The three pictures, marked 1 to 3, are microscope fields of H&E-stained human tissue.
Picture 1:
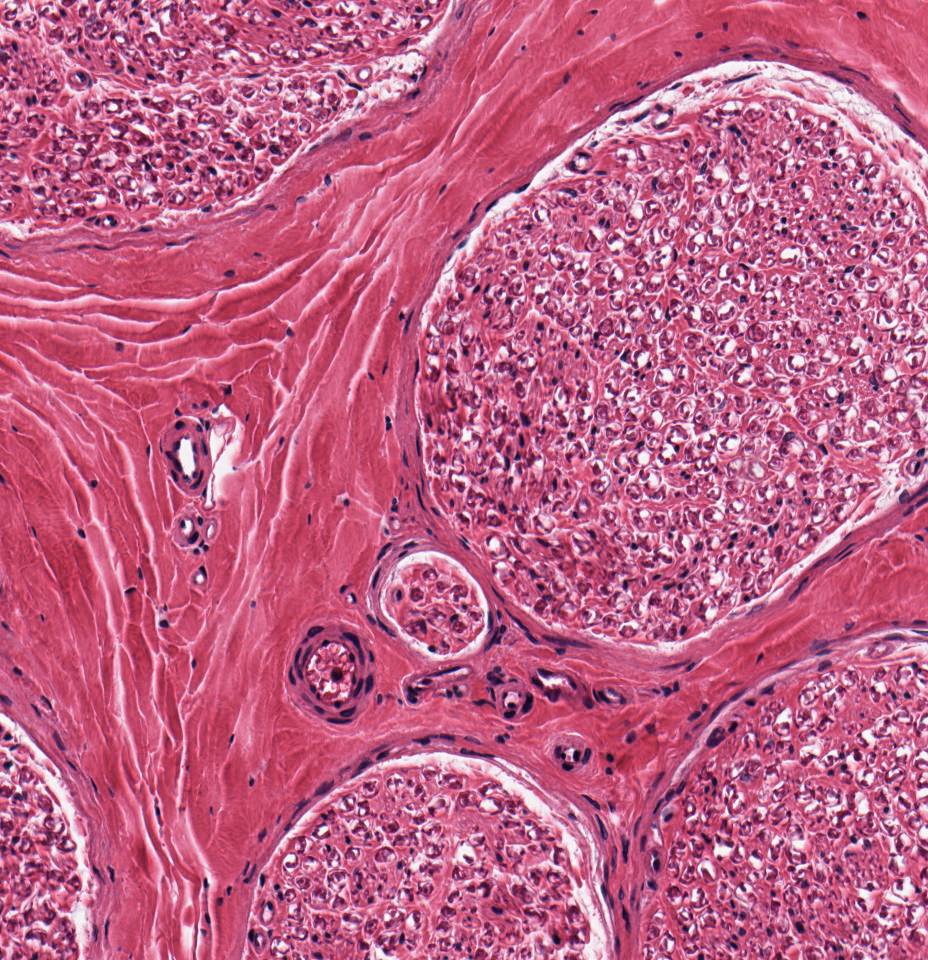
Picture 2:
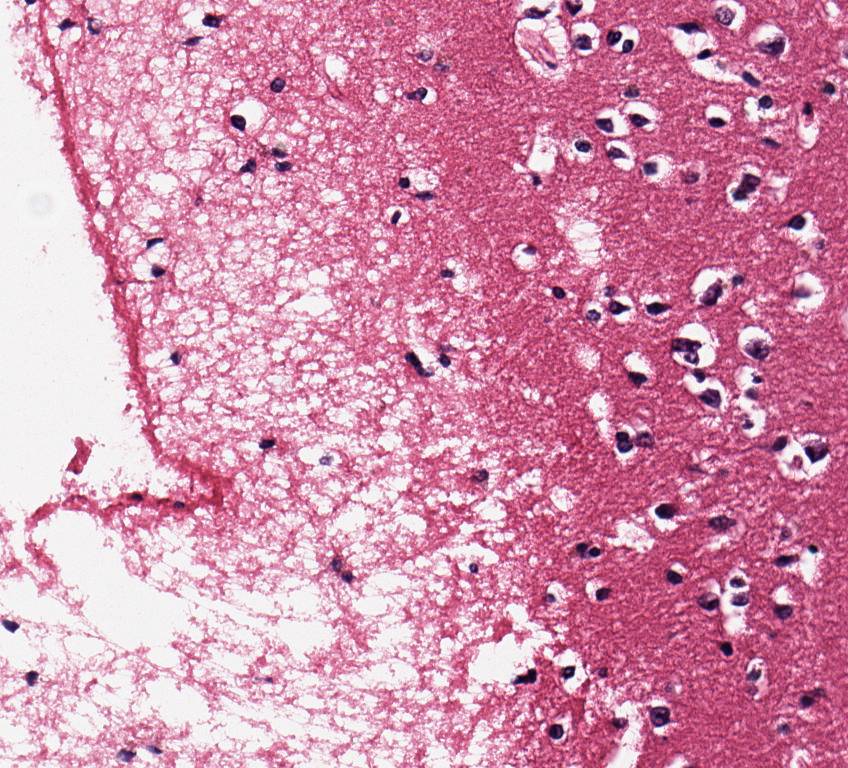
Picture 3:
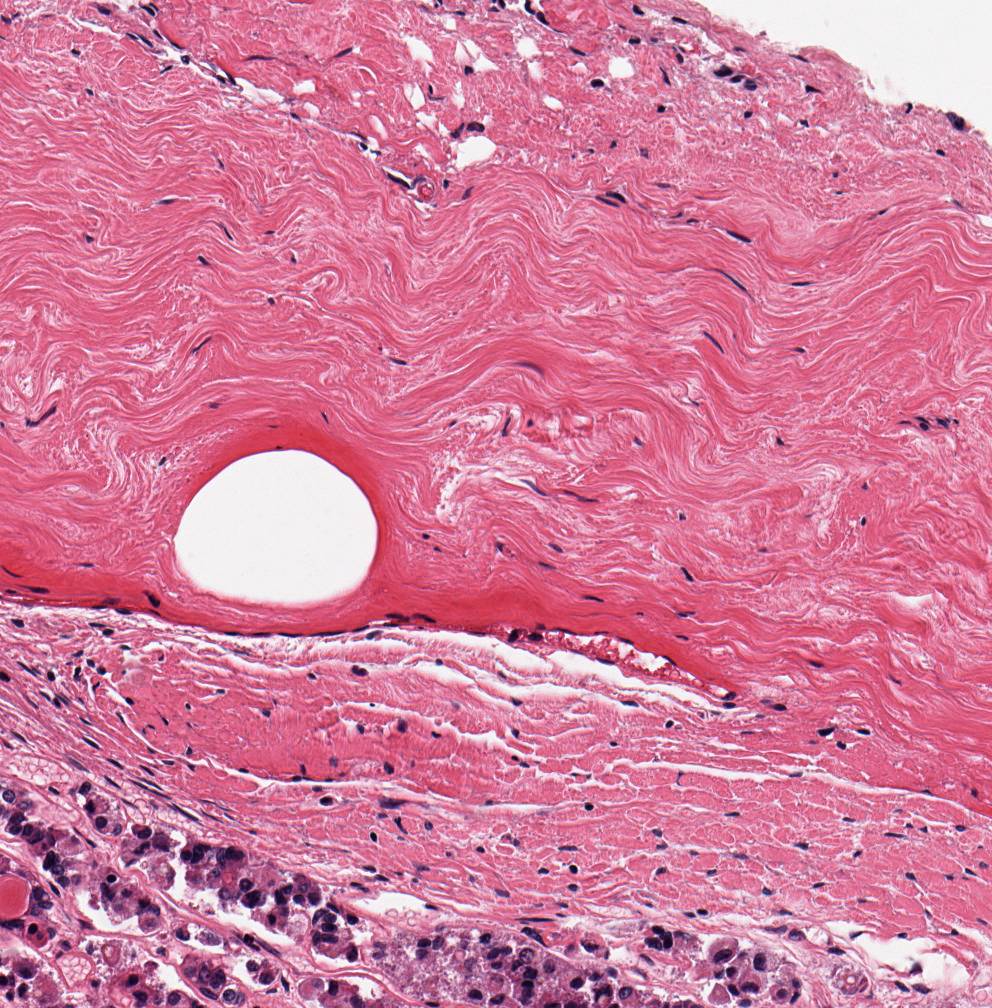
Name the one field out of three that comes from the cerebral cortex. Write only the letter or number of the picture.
2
